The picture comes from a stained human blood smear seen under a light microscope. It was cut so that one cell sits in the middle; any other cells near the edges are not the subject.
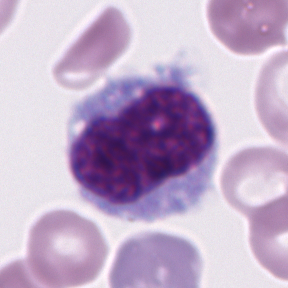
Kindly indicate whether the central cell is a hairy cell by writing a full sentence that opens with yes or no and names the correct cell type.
No, the middle cell is not a hairy cell, it being a monocyte.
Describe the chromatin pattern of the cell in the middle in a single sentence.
Answer: the chromatin in this nucleus is coarsely clumped.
